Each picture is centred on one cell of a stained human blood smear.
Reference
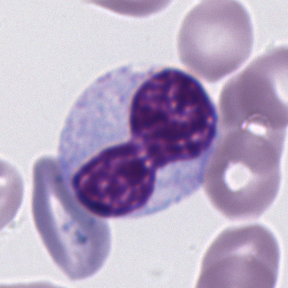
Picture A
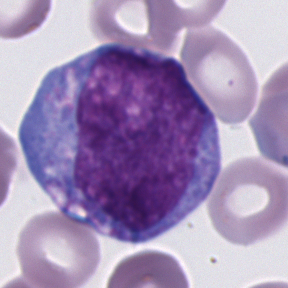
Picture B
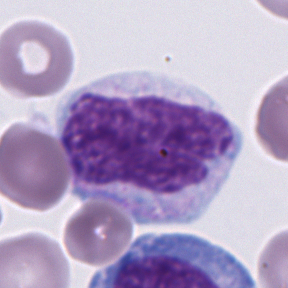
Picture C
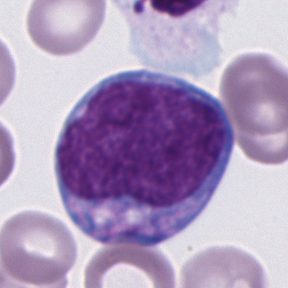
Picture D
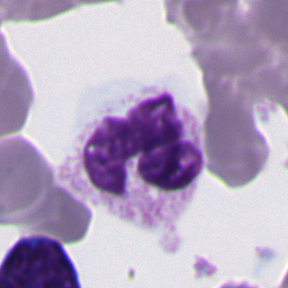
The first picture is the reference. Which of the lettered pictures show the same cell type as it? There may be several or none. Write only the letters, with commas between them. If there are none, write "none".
none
